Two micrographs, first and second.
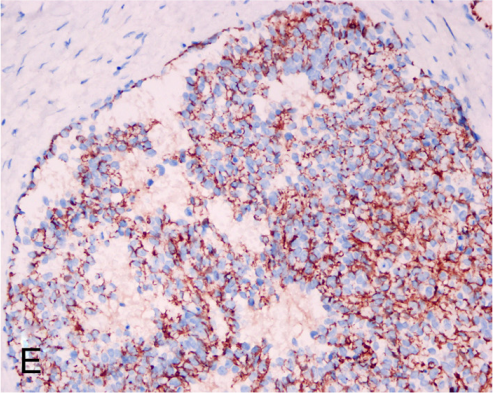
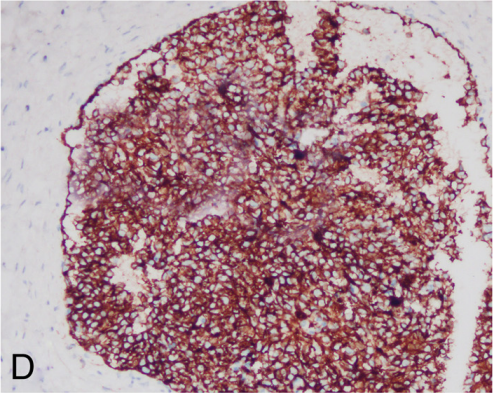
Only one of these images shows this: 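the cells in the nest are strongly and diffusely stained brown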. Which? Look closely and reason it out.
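First image: brown stain is patchy and membranous, with many blue nuclei showing through. Second image: almost the whole nest is dense brown.
Hence: the second image.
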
